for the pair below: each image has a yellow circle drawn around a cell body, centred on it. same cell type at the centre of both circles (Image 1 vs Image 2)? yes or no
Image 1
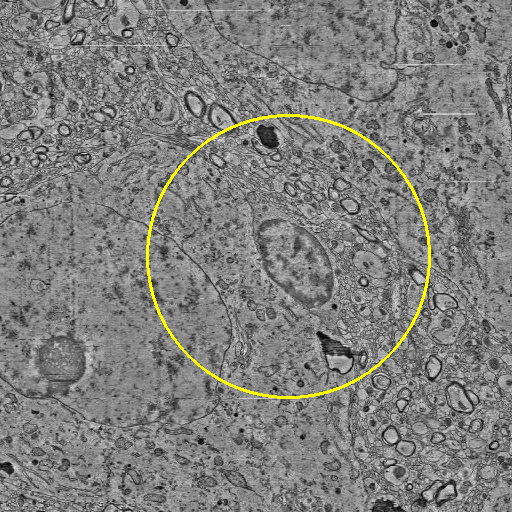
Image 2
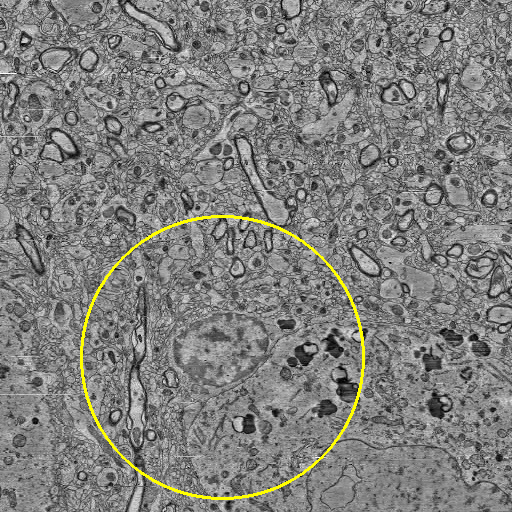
no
